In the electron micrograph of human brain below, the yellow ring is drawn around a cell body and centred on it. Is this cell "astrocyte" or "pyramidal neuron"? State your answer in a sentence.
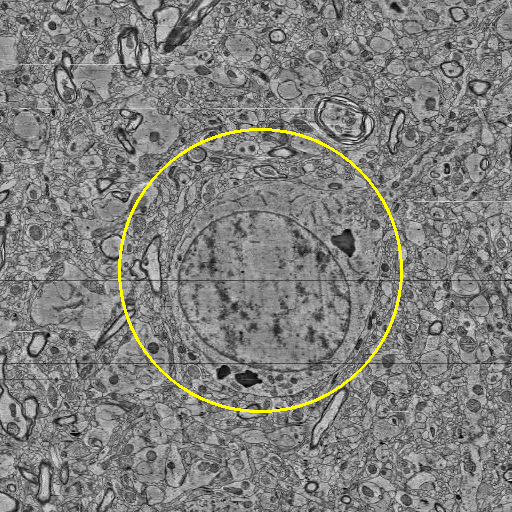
The cell in the middle of the ring is a pyramidal neuron.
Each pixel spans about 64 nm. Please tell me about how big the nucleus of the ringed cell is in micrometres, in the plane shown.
Approximately 12 x 10 micrometres in this plane.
